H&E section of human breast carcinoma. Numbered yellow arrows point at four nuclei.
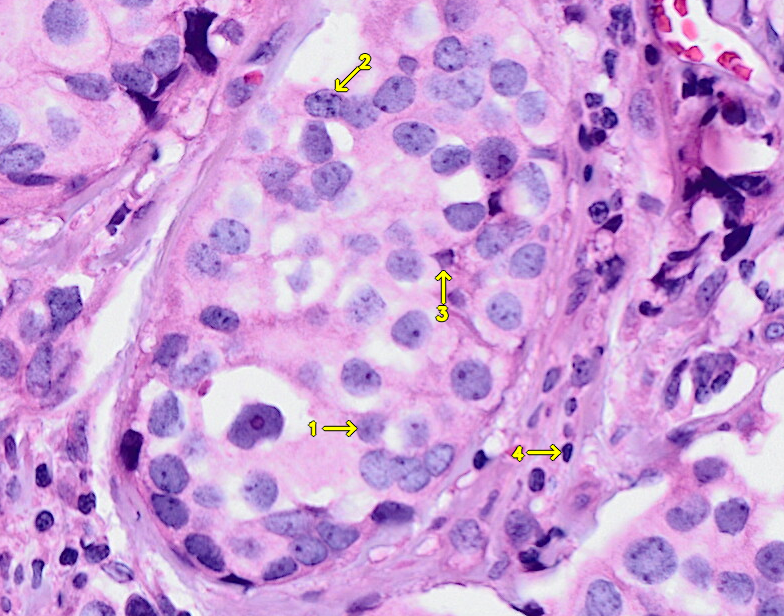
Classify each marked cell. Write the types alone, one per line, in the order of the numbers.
carcinoma cell
carcinoma cell
carcinoma cell
lymphocyte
